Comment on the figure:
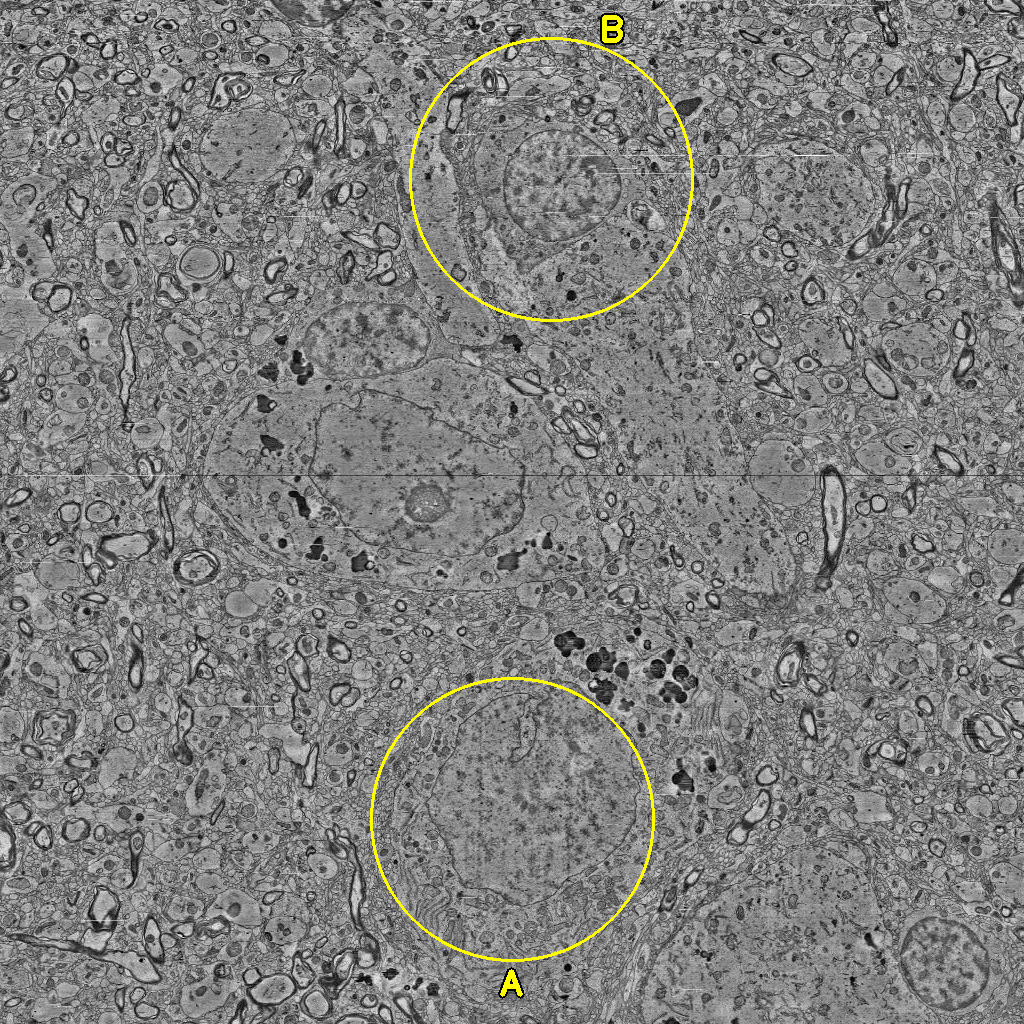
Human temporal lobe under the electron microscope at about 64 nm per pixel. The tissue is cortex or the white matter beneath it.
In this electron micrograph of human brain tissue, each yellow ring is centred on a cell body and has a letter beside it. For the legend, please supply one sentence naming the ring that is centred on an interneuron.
Ring A is centred on that cell.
